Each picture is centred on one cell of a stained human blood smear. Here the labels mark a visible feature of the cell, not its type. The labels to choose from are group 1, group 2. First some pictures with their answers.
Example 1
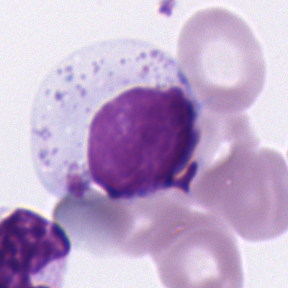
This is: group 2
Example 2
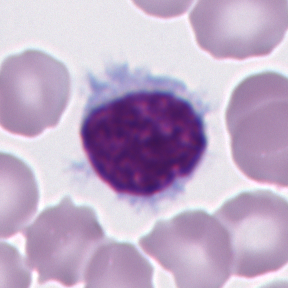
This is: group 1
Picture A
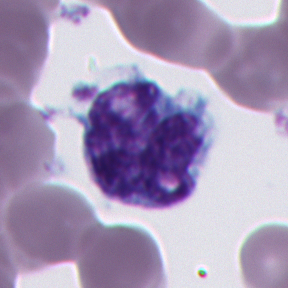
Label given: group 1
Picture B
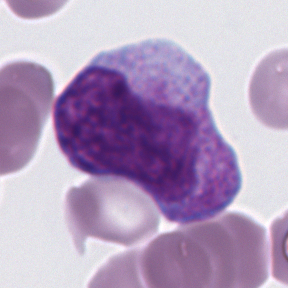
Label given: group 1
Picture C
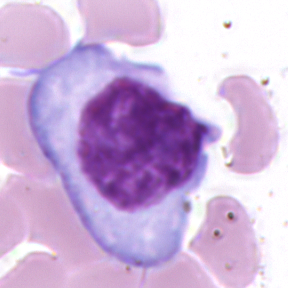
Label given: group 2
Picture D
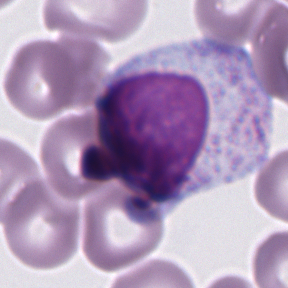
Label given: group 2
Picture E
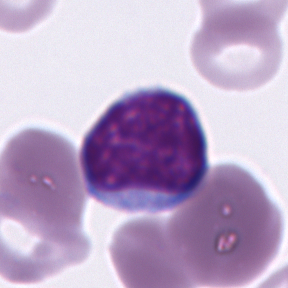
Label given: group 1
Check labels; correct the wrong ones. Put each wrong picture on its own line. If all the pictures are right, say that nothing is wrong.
B is labelled group 1; correct label: group 2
